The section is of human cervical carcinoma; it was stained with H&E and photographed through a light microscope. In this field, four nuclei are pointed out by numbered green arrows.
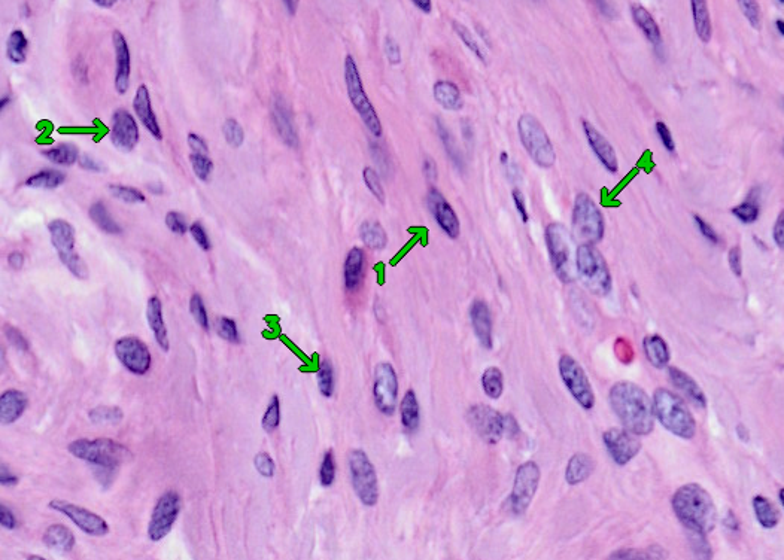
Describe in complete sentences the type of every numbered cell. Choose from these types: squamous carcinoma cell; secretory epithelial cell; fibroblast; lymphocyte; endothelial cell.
Cells 1, 2 and 3 are fibroblasts. Cell 4 is an endothelial cell.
